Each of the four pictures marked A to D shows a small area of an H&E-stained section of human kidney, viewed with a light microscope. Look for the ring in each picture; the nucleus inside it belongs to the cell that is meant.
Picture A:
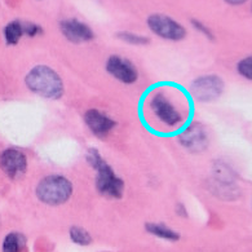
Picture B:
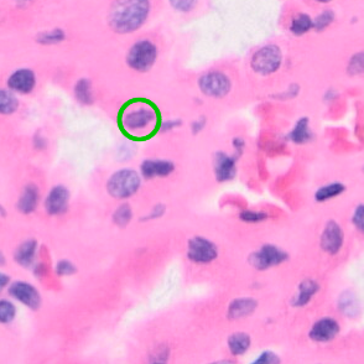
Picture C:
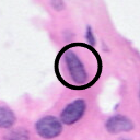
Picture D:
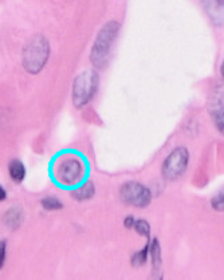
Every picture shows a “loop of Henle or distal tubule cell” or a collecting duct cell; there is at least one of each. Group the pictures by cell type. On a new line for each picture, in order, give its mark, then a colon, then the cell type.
A: collecting duct cell
B: loop of Henle or distal tubule cell
C: collecting duct cell
D: collecting duct cell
